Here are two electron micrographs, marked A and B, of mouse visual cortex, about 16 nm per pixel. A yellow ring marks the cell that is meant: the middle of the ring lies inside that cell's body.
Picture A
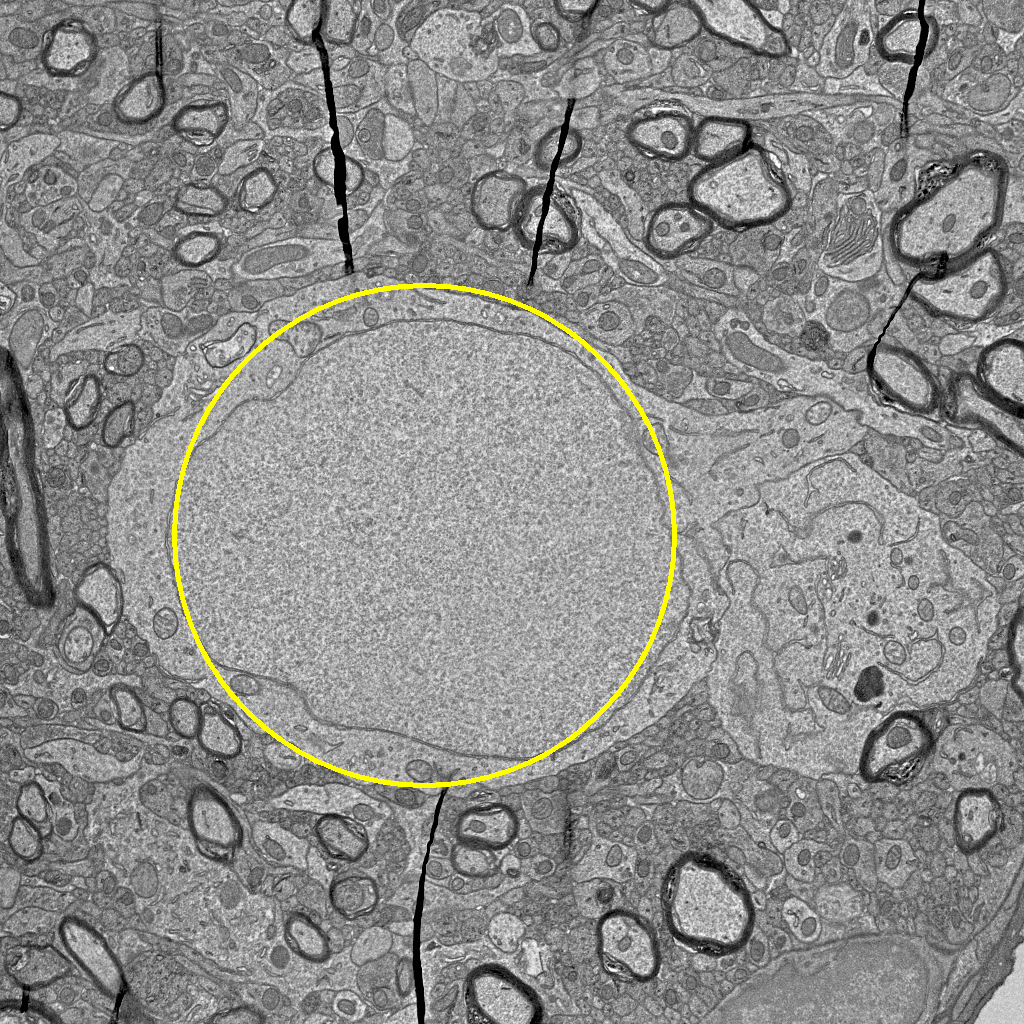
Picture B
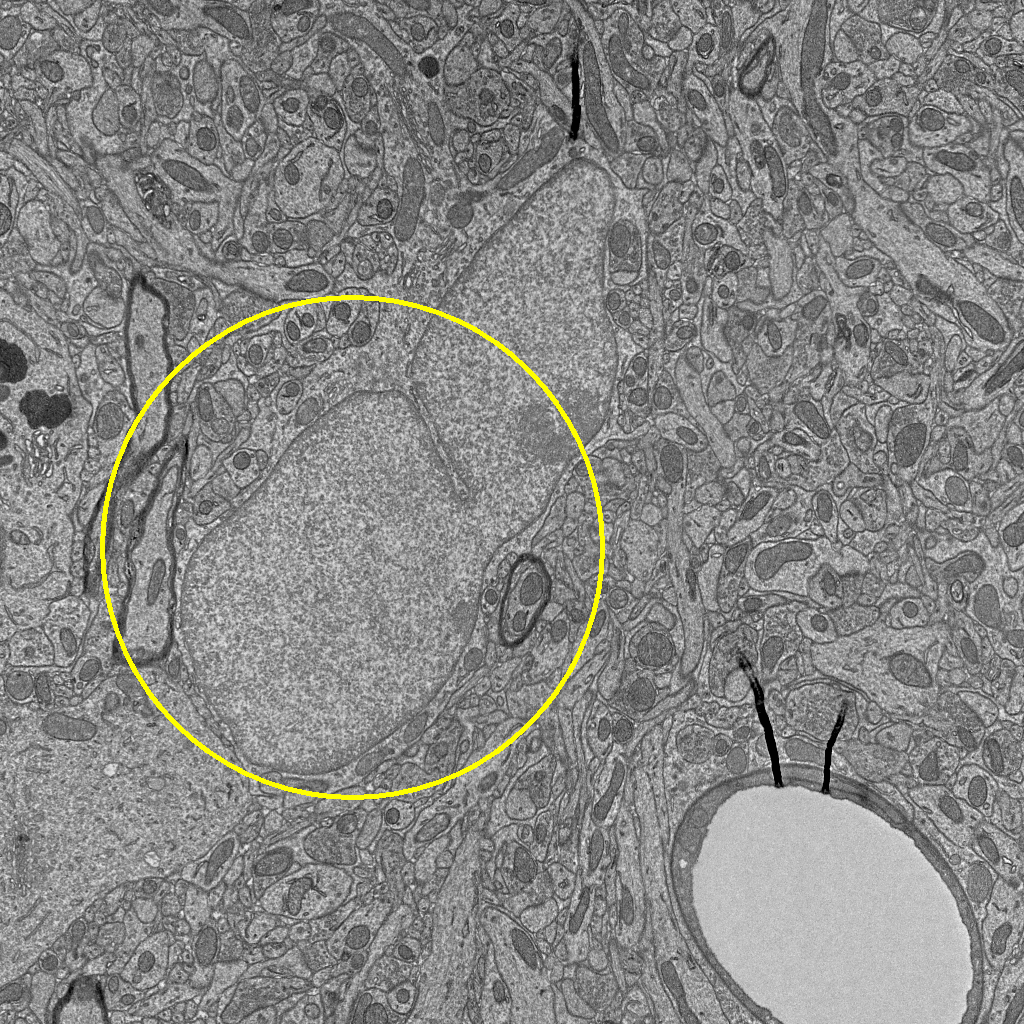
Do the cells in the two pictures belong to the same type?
No, picture A shows an excitatory neuron and picture B shows an astrocyte.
